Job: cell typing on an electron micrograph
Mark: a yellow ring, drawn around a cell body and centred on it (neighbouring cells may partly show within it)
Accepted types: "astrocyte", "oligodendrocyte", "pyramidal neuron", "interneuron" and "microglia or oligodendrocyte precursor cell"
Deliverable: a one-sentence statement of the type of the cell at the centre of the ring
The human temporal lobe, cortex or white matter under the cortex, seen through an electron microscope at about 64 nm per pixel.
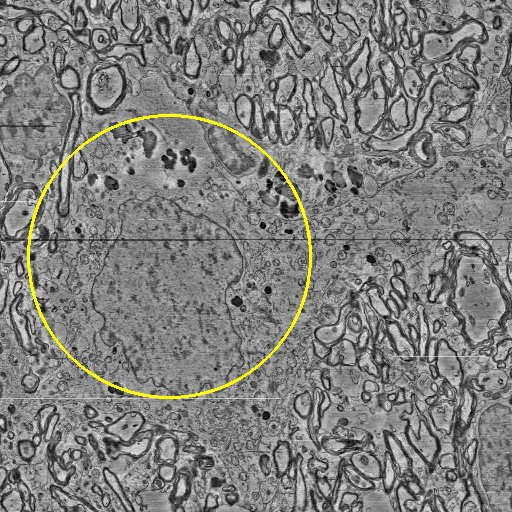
The centred cell body is that of a pyramidal neuron.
